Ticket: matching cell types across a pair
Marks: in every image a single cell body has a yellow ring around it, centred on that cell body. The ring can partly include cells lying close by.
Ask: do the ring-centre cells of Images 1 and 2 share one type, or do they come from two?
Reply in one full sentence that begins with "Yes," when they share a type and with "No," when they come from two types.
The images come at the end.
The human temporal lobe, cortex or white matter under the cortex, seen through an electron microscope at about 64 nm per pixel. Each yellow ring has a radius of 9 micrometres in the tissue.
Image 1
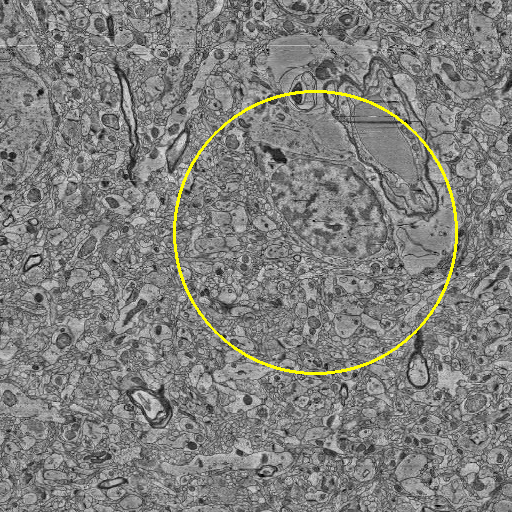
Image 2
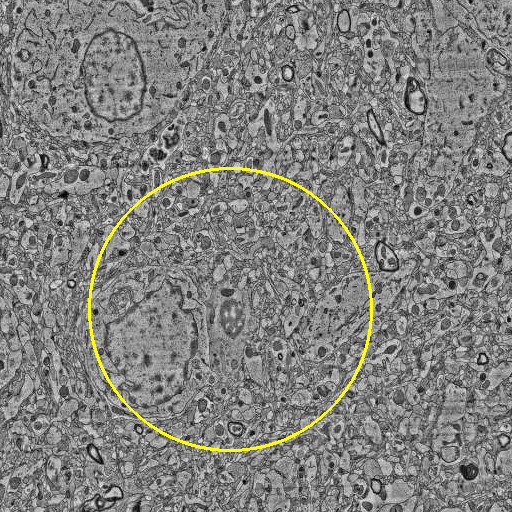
Yes, the cells in the centres of the rings in Image 1 and Image 2 share one type.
